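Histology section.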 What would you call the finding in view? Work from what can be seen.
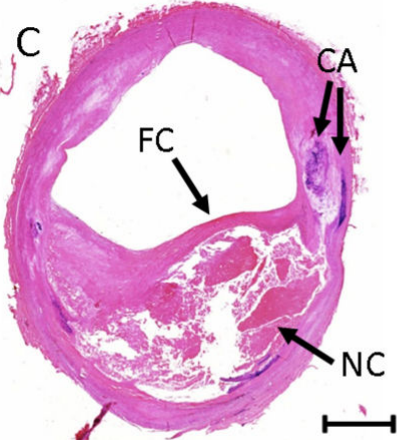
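A vessel cross-section with a large open lumen and a thickened wall on one side. A thin pink band separates the lumen from a large pale area with loose, torn material. So: atherosclerotic lesion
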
